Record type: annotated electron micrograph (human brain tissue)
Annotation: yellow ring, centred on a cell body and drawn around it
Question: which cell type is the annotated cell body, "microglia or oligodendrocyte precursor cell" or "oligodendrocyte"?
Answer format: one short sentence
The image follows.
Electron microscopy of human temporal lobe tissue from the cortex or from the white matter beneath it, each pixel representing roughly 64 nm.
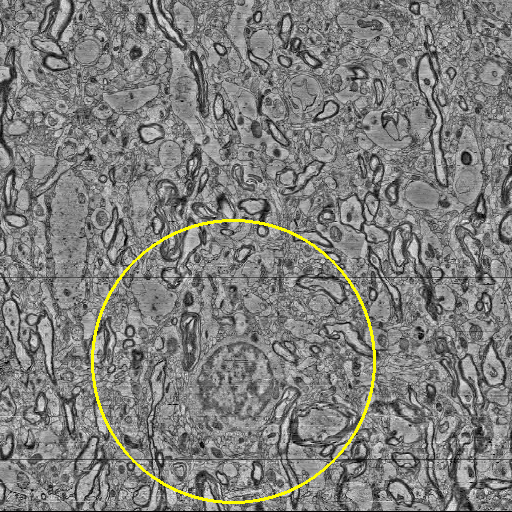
The annotated cell body is that of an oligodendrocyte.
